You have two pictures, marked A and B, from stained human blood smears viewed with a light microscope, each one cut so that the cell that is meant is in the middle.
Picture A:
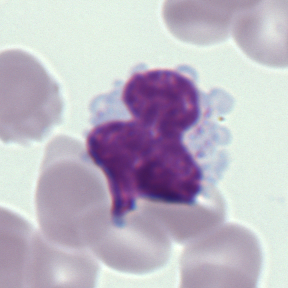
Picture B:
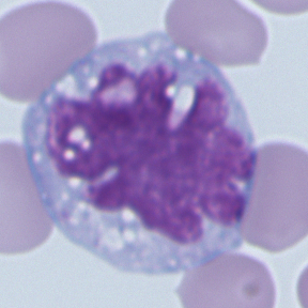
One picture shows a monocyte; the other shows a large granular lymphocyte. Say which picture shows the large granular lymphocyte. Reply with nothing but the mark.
A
